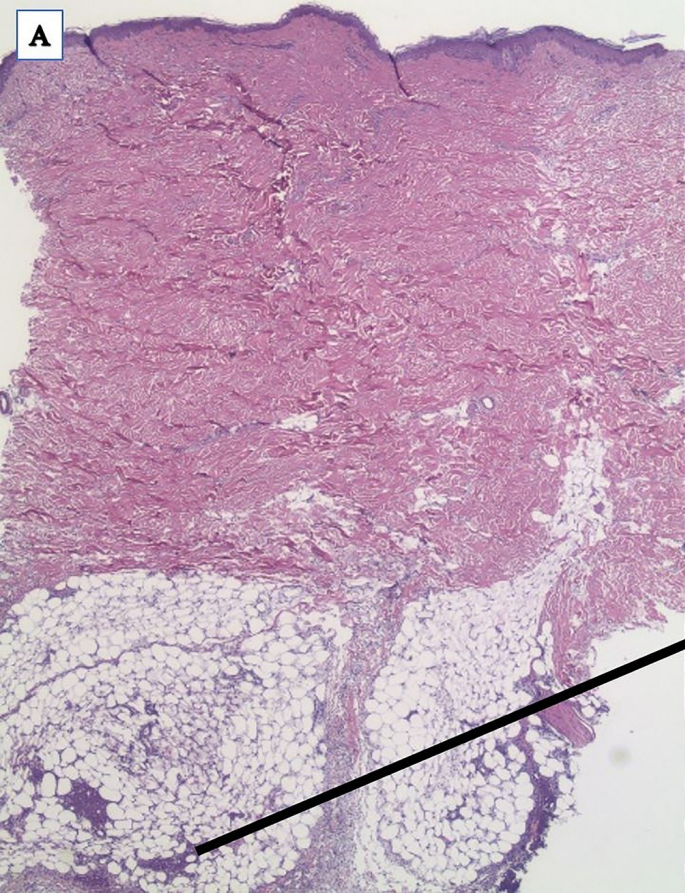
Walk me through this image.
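This low-power view spans the whole thickness of the skin, from a thin purple epidermis at the top through a thick pink dermis to the subcutaneous fat below. The dermis is made of dense wavy pink collagen bundles with few cells in it. At the bottom, the fat forms pale lobules of clear, rounded cells separated by thin strands. Within these fat lobules lie darker purple patches where inflammatory cells gather in nodules.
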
